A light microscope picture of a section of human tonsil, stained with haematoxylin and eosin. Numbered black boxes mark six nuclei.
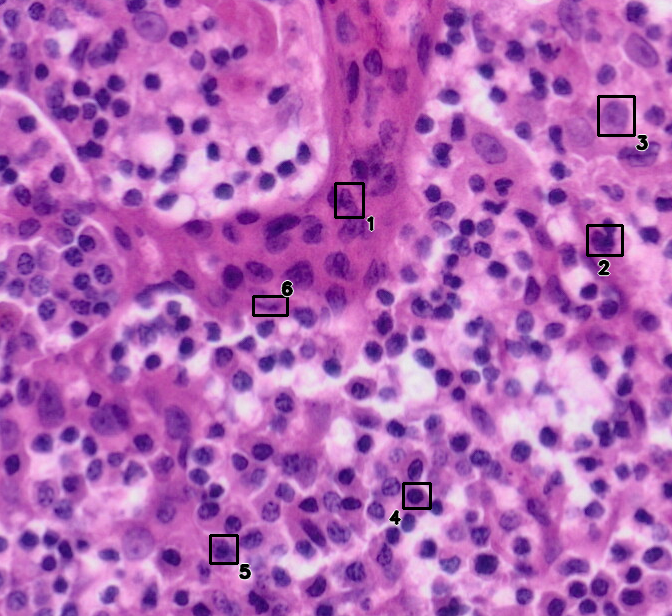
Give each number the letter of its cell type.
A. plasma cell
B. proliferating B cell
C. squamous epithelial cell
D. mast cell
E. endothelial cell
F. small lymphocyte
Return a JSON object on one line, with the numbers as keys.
{"1": "C", "2": "C", "3": "C", "4": "A", "5": "A", "6": "C"}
